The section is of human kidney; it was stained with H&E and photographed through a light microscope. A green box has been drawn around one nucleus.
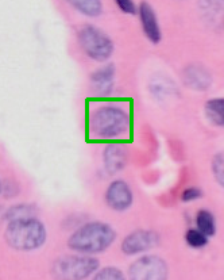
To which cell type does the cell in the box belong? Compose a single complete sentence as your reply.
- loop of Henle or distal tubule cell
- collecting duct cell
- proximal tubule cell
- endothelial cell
The classification of the cell in the box is as a collecting duct cell.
